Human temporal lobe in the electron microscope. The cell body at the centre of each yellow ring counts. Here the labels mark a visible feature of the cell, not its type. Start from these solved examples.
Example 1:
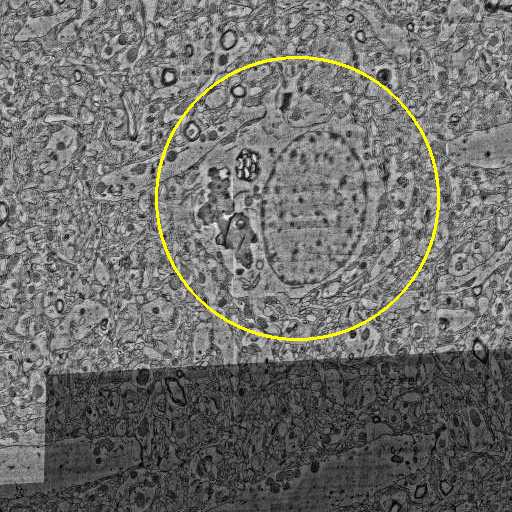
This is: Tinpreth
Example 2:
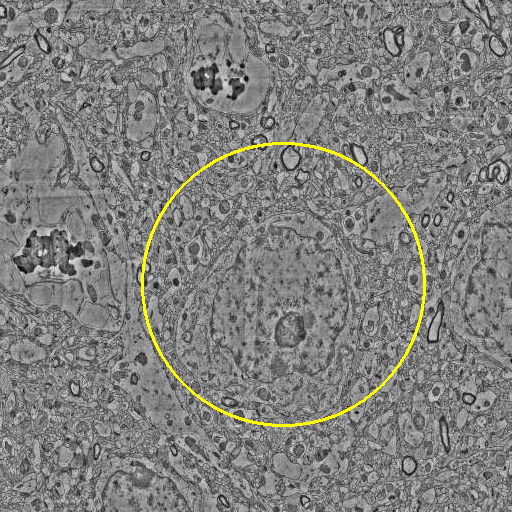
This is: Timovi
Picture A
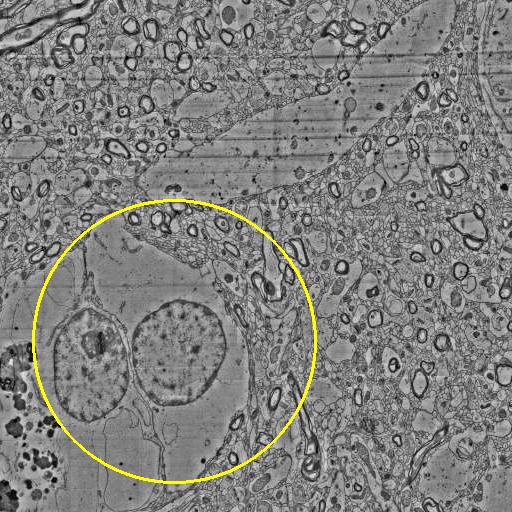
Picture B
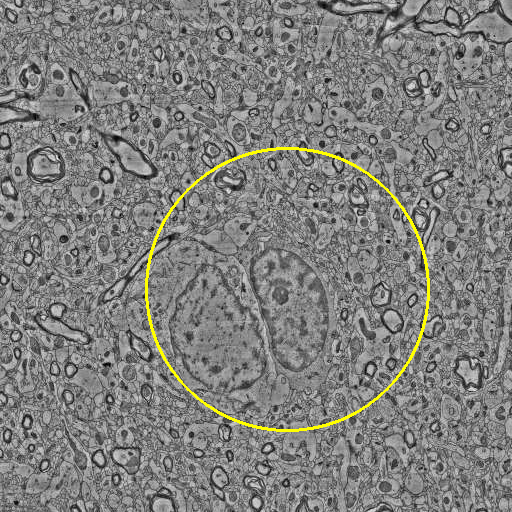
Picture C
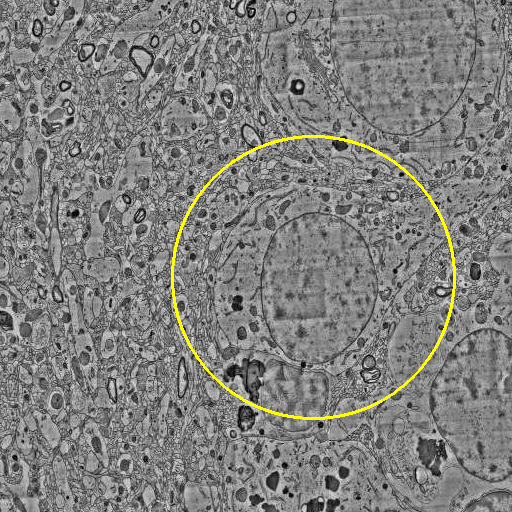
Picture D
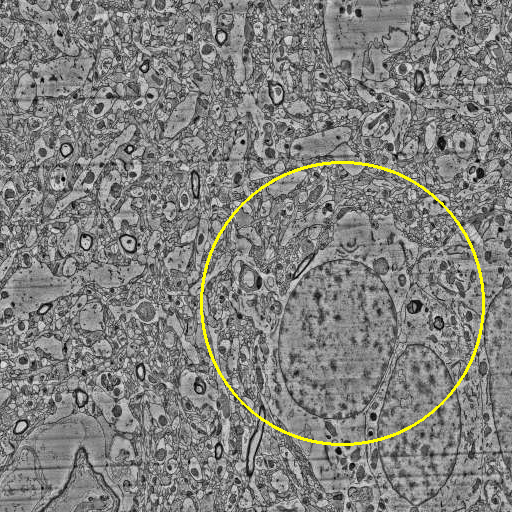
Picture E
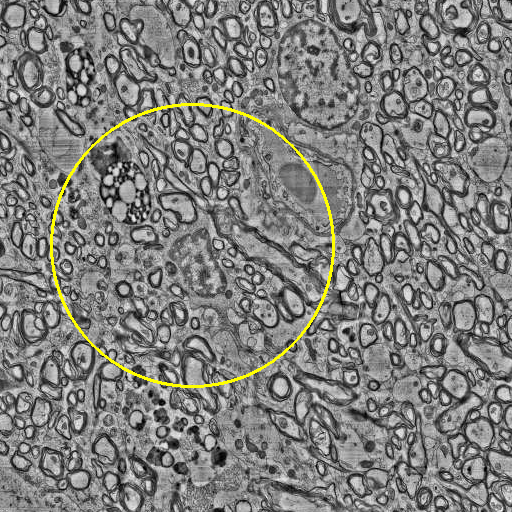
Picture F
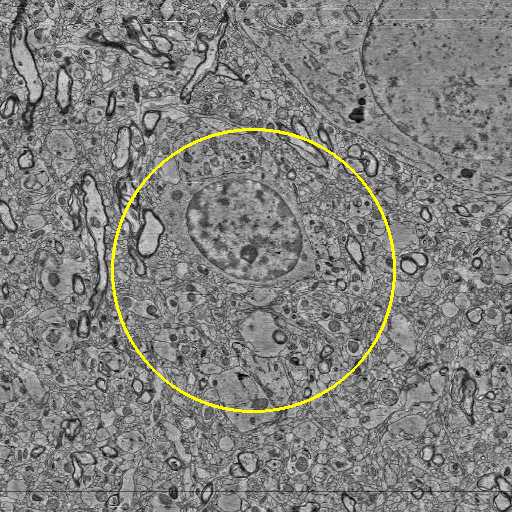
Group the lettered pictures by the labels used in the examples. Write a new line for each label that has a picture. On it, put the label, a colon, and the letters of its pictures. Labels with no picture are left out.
Tinpreth: A, C, D, E
Timovi: B, F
